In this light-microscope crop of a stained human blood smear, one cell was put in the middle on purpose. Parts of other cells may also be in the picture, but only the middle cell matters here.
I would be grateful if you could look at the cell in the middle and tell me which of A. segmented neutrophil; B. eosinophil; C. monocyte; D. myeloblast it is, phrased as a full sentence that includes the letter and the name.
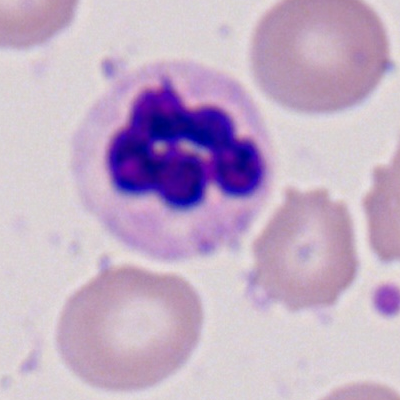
Option A is right in identifying the central cell as a segmented neutrophil.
